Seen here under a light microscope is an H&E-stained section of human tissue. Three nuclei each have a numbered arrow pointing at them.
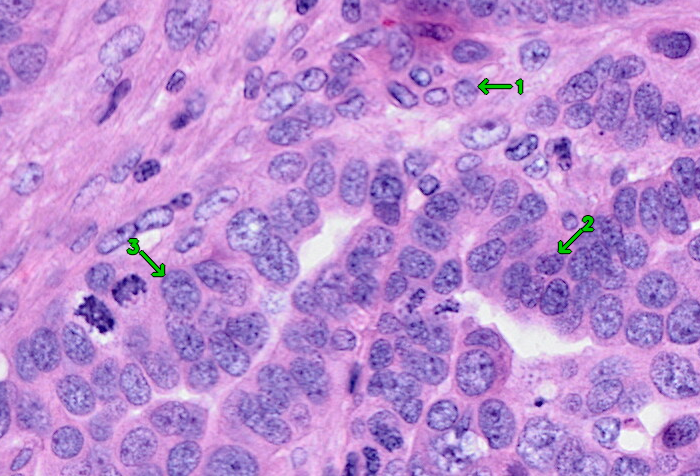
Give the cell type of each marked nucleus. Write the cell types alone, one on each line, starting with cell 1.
fibroblast
carcinoma cell
carcinoma cell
